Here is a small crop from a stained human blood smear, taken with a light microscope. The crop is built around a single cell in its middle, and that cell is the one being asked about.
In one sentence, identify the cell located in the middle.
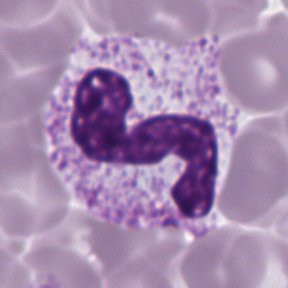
The centered cell in this crop is a neutrophil.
